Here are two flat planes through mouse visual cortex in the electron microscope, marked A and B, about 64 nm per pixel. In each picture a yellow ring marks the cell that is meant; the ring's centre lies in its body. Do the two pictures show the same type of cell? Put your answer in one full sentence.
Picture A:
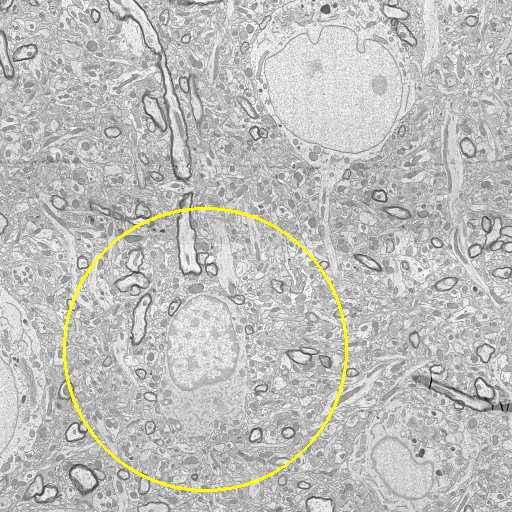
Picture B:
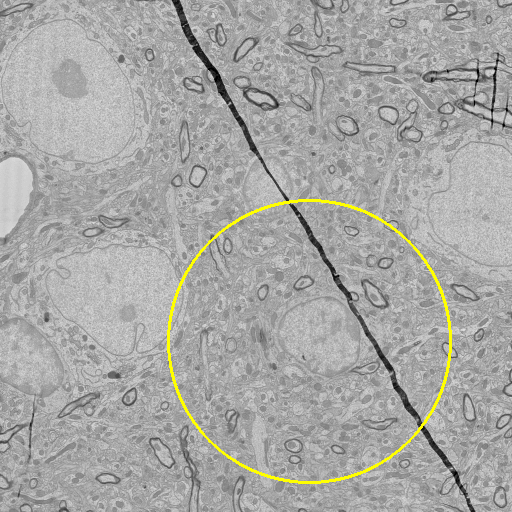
Yes, both cells are oligodendrocytes.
